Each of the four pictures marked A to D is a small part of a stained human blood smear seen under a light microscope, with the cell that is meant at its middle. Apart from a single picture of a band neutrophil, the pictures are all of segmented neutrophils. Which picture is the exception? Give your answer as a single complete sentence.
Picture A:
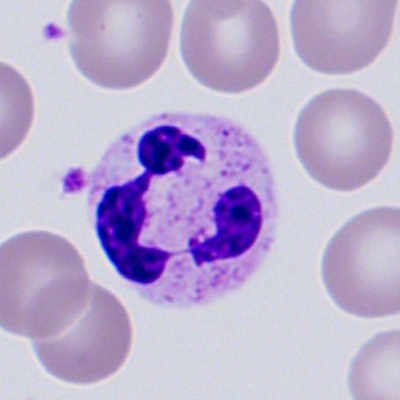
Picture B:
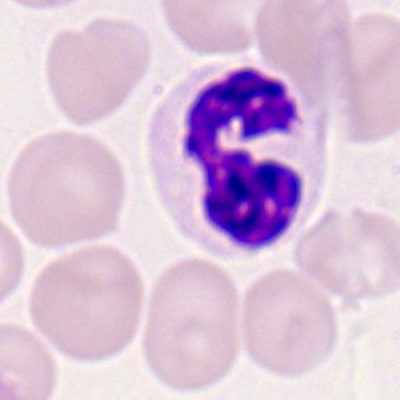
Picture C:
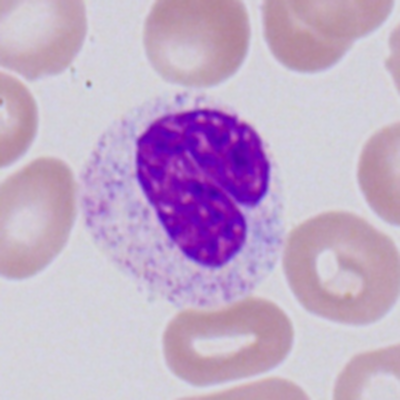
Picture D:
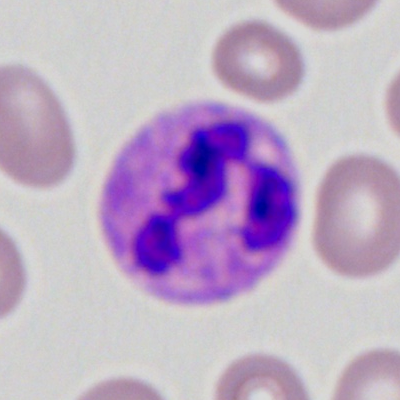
Picture C is the one that shows the band neutrophil.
